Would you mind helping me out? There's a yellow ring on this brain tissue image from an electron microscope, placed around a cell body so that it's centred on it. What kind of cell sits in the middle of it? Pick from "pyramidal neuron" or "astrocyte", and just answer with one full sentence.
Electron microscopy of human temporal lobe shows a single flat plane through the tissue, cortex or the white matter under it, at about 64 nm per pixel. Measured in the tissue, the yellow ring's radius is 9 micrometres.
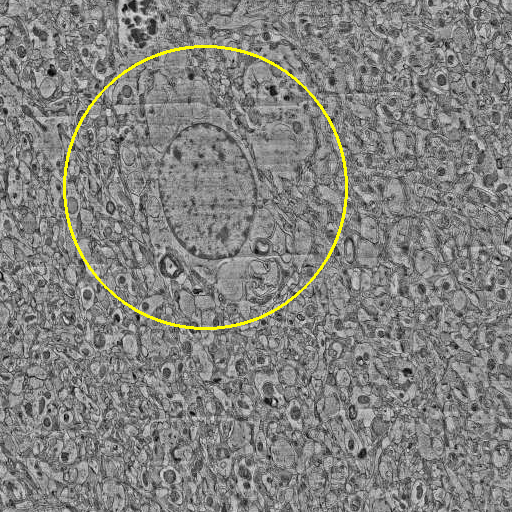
What sits in the middle of that yellow ring is an astrocyte, from your choices.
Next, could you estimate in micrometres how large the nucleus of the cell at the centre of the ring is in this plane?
The nucleus measures about 9 by 6 micrometres in this plane.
